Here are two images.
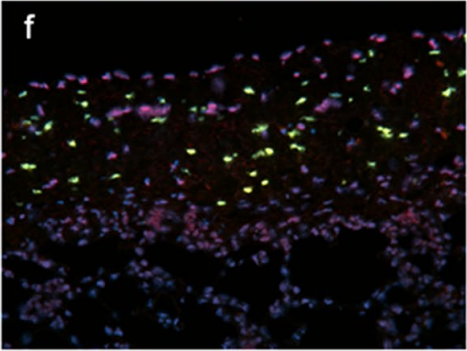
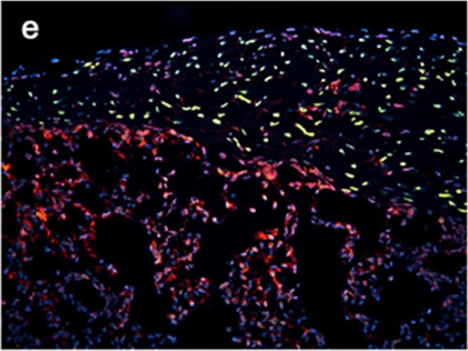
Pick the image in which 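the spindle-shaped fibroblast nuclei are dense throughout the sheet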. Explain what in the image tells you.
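First image: green spindle nuclei are sparse and widely spaced. Second image: many green spindle nuclei crowd the upper layer. On this evidence: the second image.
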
